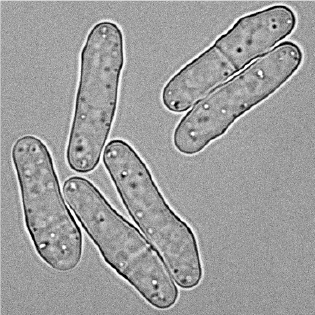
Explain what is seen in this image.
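This is a group of unstained single cells seen in brightfield, all shaped like rods with rounded ends. They have smooth, sharp outlines. They lie scattered singly or side by side on a grey background. Several are quite long, and some show a thin transverse line across the middle where a septum divides the cell. The cytoplasm looks finely granular, with scattered small dark dots and a few pale, rounded vacuole-like spots. No cell looks broken or misshapen. The cells are fairly long and broad for such rods.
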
